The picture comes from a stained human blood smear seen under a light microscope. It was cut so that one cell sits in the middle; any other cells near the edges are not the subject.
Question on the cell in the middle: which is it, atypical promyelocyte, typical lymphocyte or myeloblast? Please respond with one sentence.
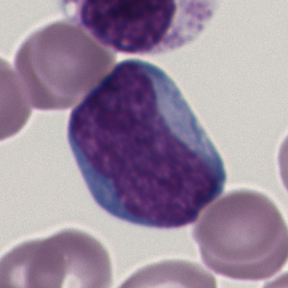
Within this crop, a myeloblast occupies the central position.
